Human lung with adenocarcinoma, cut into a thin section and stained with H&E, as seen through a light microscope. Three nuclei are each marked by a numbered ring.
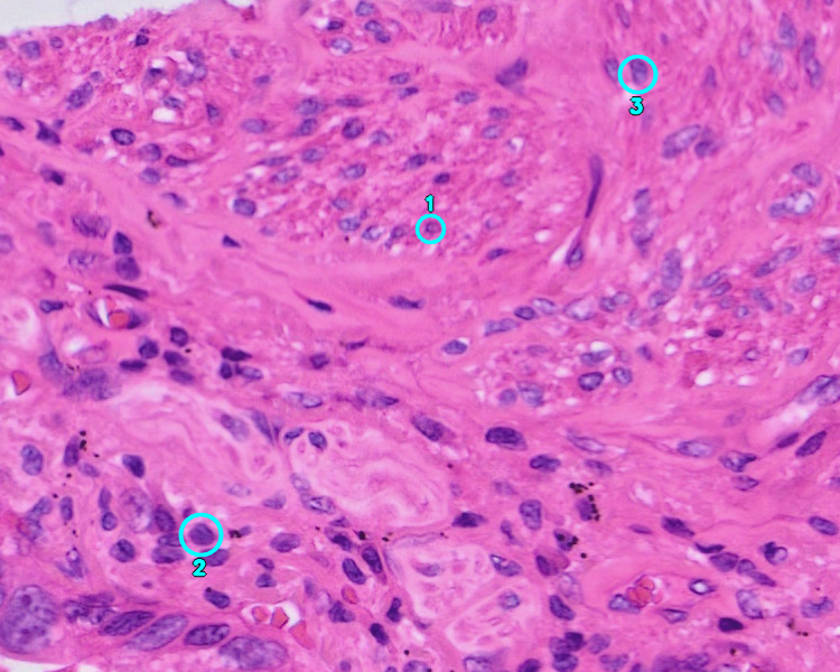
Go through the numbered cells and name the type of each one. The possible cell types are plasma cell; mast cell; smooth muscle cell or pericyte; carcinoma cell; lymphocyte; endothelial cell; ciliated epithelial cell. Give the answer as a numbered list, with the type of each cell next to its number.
1. smooth muscle cell or pericyte
2. lymphocyte
3. smooth muscle cell or pericyte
